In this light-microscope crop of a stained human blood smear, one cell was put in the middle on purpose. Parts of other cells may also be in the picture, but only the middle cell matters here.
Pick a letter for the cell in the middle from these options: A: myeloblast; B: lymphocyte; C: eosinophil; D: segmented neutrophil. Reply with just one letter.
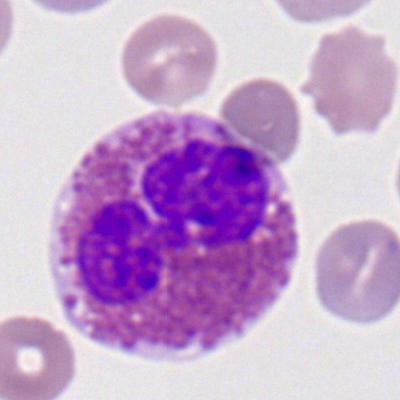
C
